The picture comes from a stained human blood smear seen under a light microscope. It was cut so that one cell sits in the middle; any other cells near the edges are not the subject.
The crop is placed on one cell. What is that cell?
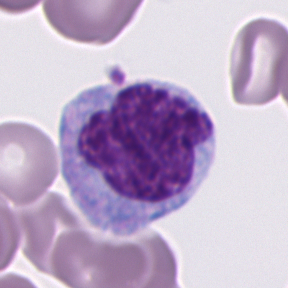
monocyte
